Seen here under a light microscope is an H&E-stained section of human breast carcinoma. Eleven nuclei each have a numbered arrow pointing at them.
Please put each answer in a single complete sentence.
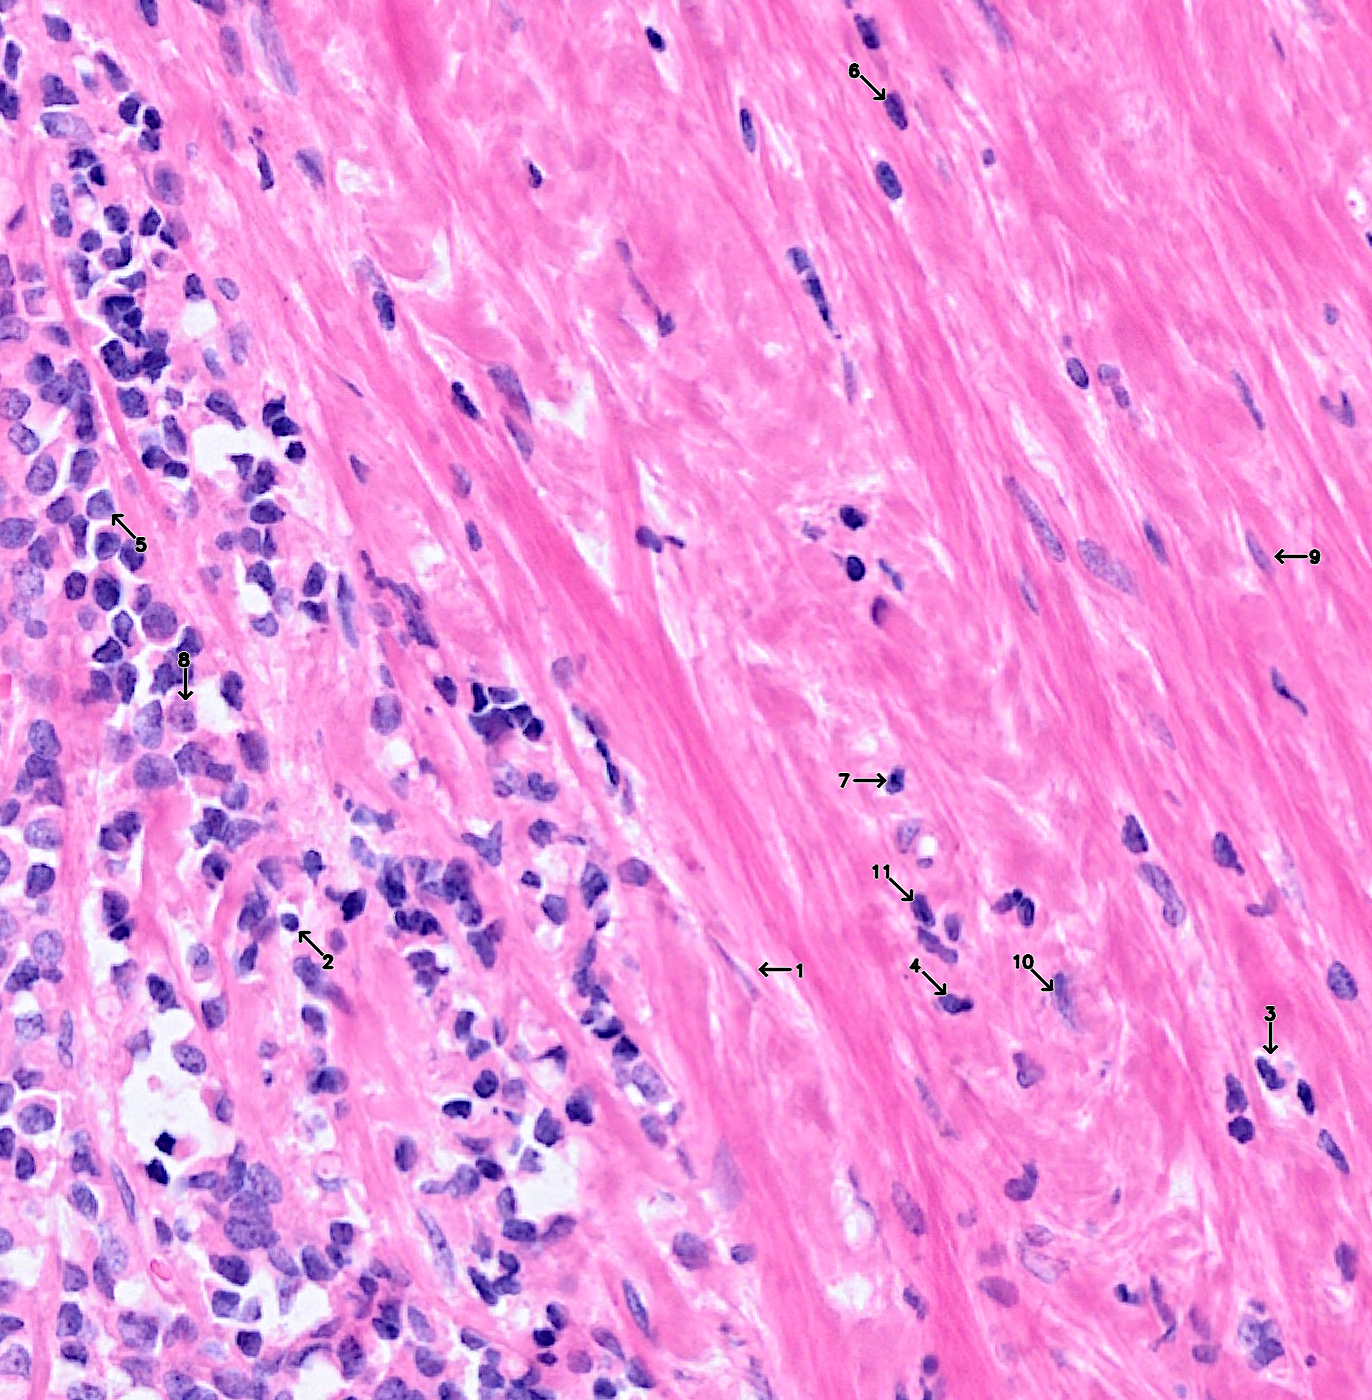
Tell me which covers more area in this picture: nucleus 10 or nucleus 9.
Nucleus 10 covers more area, about 1.5 times as much as nucleus 9.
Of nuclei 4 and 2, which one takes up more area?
It is nucleus 4, which covers about 2 times the area of nucleus 2.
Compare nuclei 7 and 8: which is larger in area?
Nucleus 8 is the larger one, covering about 1.5 times the area of nucleus 7.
